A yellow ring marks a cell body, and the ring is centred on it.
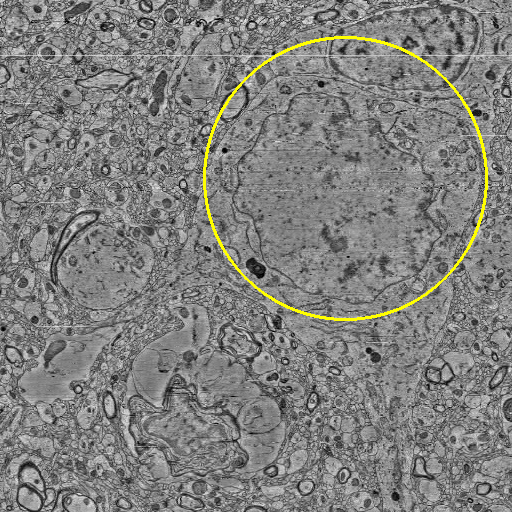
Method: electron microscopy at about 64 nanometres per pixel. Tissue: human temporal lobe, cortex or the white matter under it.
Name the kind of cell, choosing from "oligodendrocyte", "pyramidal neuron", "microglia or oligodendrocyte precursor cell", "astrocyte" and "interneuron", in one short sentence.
The marked cell body belongs to an interneuron.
